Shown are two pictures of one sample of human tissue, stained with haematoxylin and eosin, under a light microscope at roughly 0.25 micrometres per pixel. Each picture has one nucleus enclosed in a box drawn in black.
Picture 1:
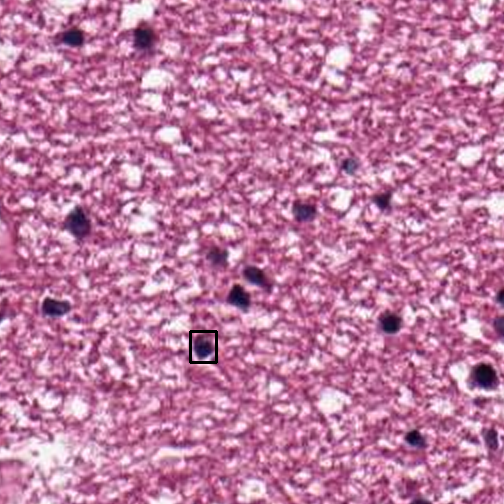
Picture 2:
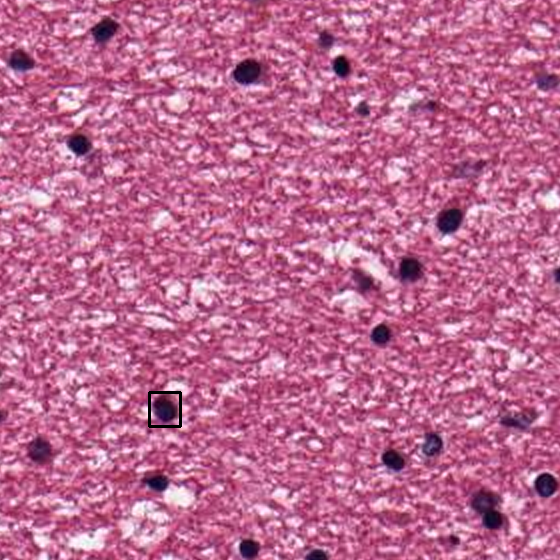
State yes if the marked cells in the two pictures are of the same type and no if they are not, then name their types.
Yes, both are oligodendrocytes.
